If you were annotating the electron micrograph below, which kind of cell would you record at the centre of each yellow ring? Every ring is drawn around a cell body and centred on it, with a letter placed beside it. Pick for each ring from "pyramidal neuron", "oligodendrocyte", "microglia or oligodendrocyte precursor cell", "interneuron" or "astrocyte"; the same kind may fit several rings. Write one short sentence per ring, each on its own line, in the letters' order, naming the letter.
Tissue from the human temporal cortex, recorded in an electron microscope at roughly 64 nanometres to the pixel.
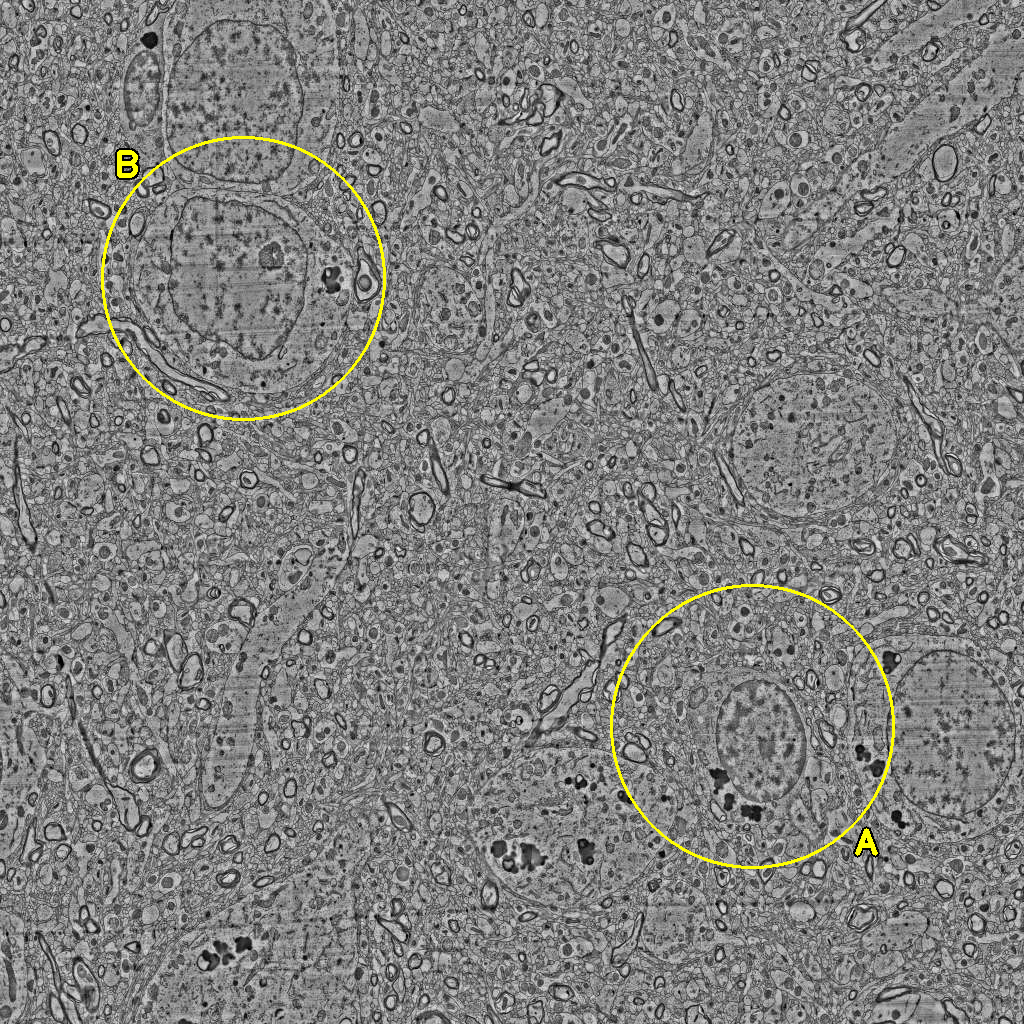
For ring A, I would record an oligodendrocyte.
For ring B, I would record a pyramidal neuron.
